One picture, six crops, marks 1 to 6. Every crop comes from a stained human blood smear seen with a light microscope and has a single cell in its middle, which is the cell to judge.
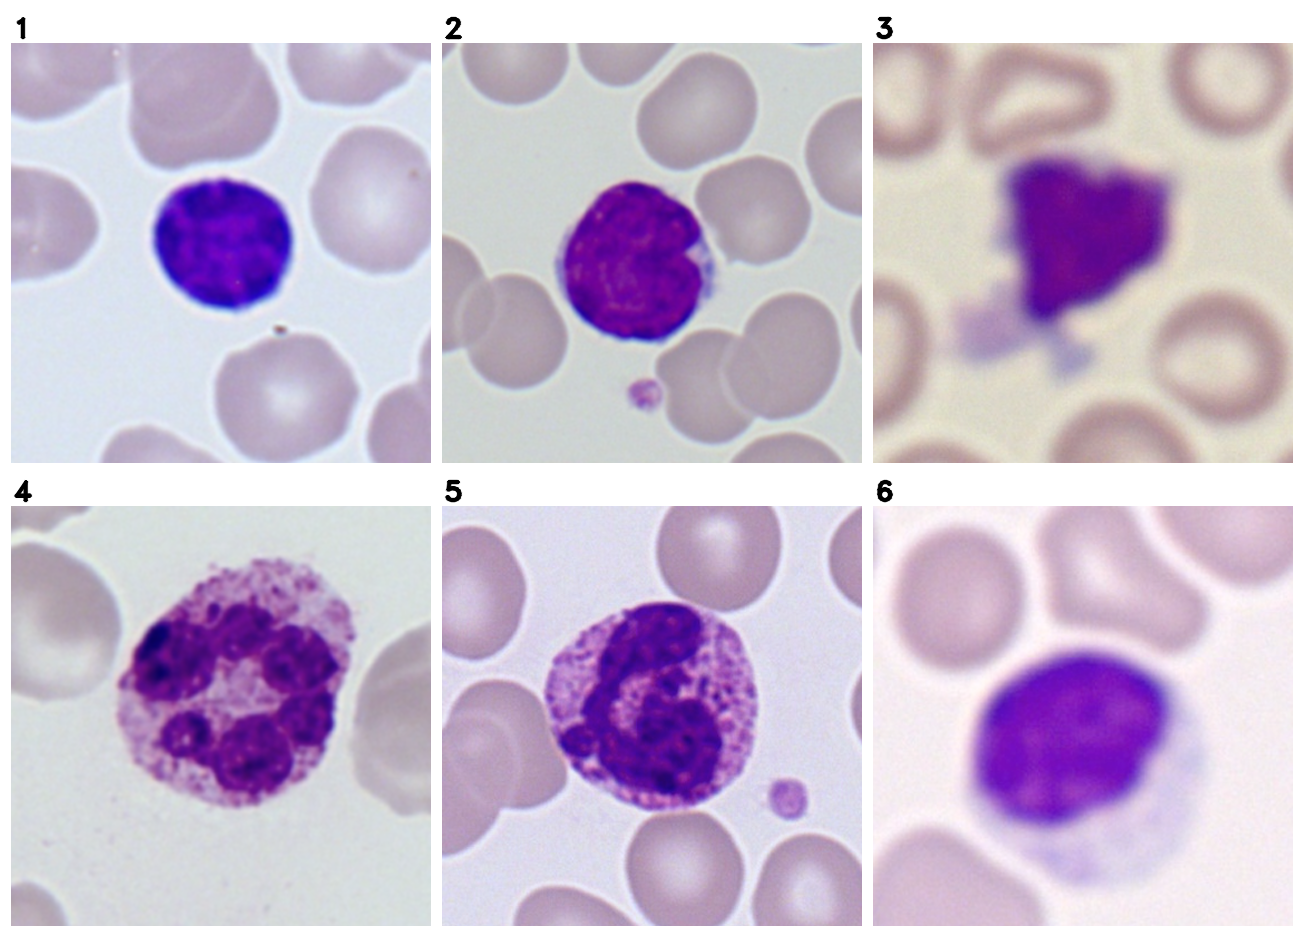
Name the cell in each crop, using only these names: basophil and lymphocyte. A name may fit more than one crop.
1: lymphocyte
2: lymphocyte
3: lymphocyte
4: basophil
5: basophil
6: lymphocyte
